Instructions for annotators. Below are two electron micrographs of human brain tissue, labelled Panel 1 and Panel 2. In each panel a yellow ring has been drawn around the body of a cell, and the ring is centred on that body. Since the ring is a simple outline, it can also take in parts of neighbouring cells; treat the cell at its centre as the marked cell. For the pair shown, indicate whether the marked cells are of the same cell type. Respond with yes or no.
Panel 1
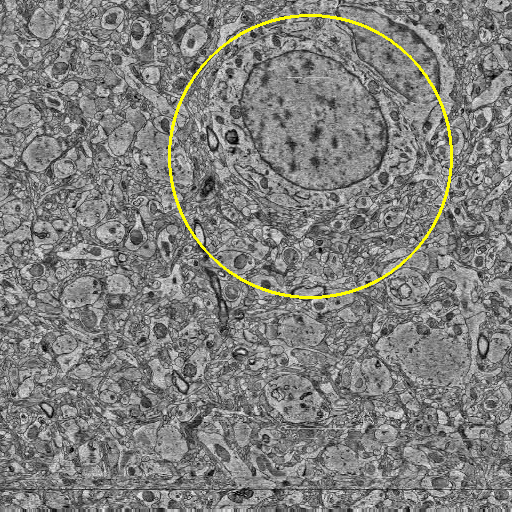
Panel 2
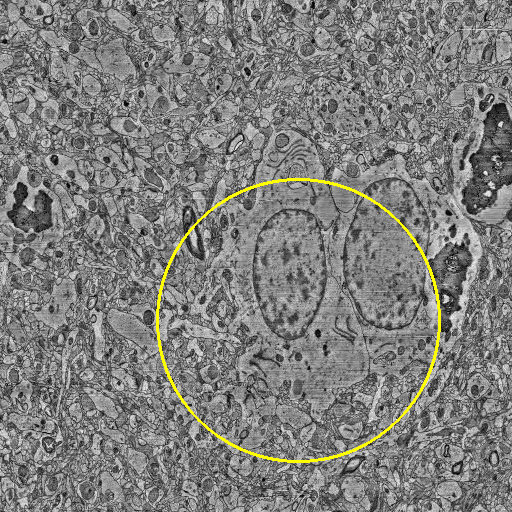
no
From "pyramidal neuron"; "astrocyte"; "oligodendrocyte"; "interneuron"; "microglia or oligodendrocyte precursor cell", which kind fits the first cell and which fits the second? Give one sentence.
The cell marked in the first picture is a pyramidal neuron, and the one marked in the second is an astrocyte.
